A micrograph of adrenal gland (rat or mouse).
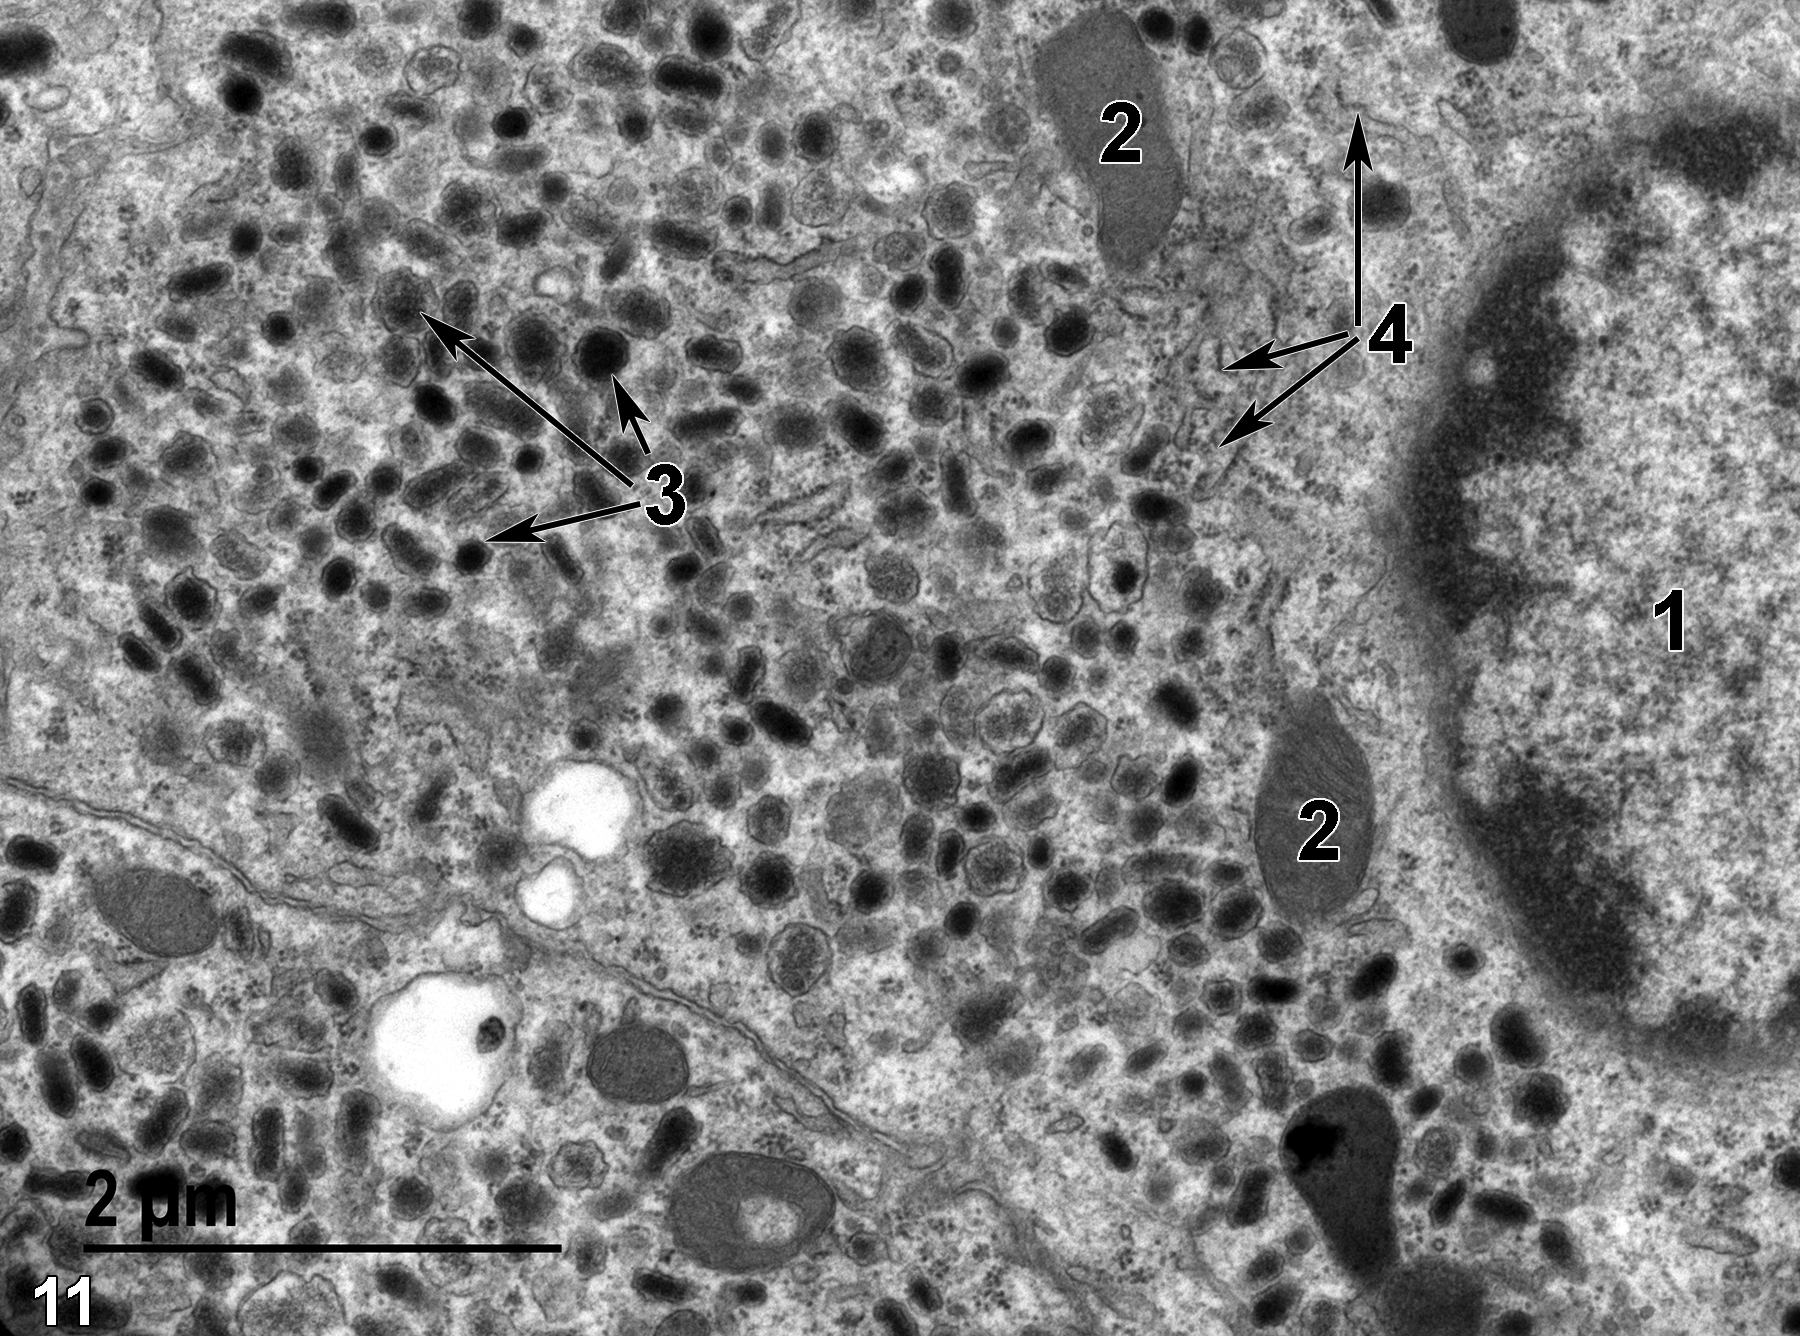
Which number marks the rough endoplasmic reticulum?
It's 4.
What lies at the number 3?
3 marks the secretory granules.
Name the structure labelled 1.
Nucleus.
